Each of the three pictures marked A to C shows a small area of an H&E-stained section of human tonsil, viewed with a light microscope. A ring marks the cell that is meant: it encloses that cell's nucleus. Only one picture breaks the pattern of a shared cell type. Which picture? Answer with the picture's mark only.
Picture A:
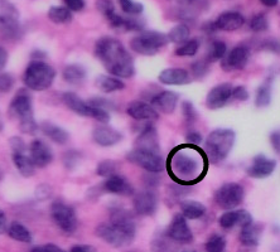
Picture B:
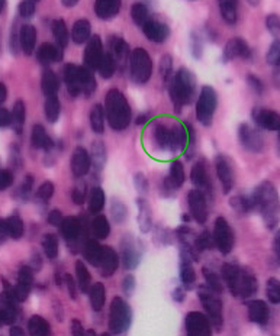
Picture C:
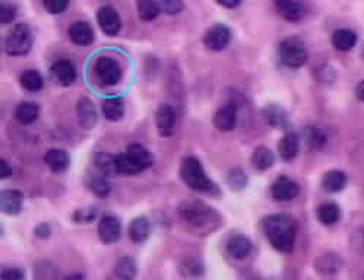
C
